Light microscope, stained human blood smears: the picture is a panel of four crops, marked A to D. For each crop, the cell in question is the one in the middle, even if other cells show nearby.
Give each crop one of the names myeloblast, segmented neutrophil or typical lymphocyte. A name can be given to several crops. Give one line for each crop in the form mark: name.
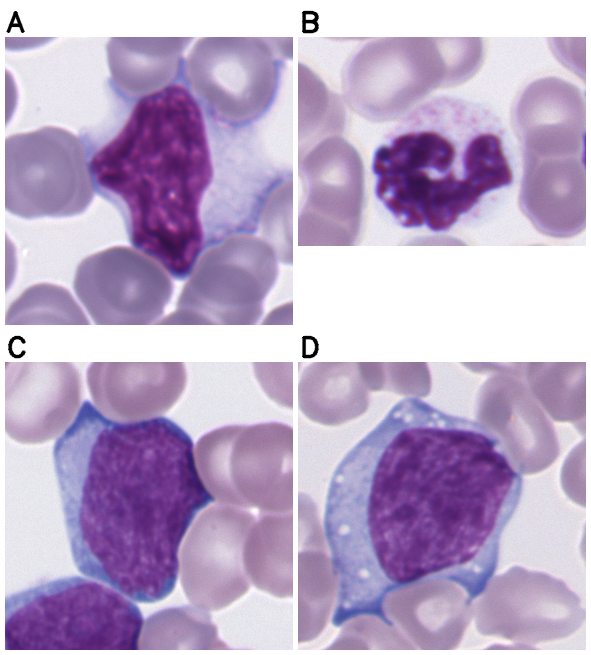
A: typical lymphocyte
B: segmented neutrophil
C: myeloblast
D: myeloblast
